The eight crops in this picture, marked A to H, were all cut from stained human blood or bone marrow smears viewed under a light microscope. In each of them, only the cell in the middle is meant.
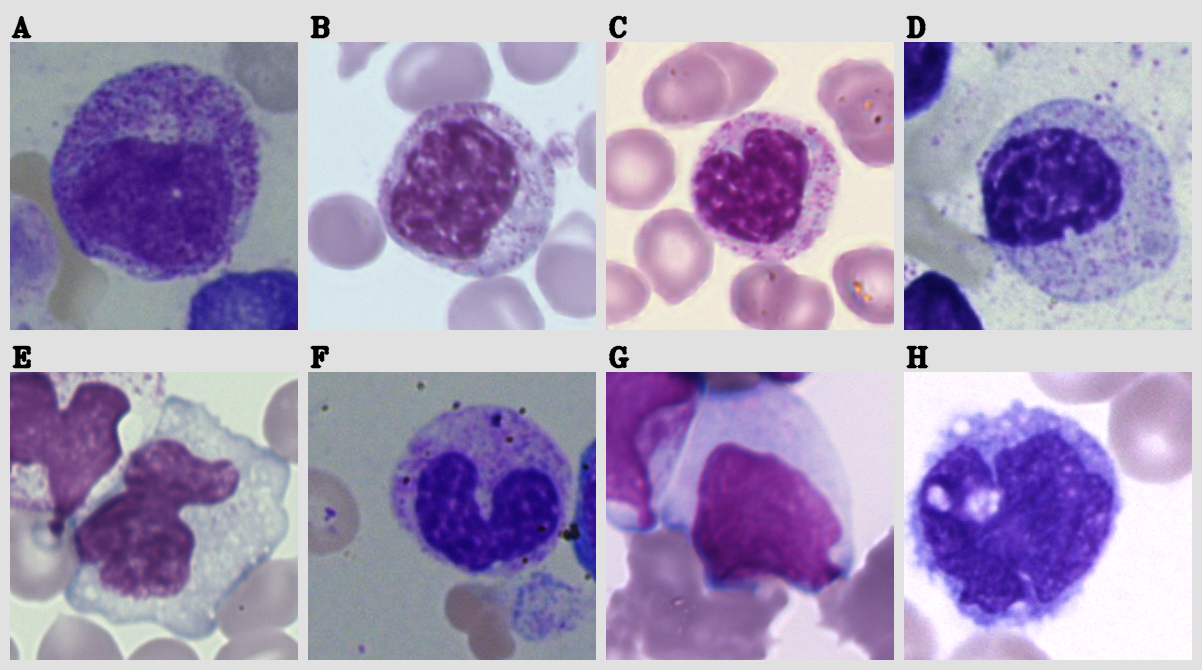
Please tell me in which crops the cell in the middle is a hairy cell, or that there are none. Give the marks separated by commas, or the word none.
none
